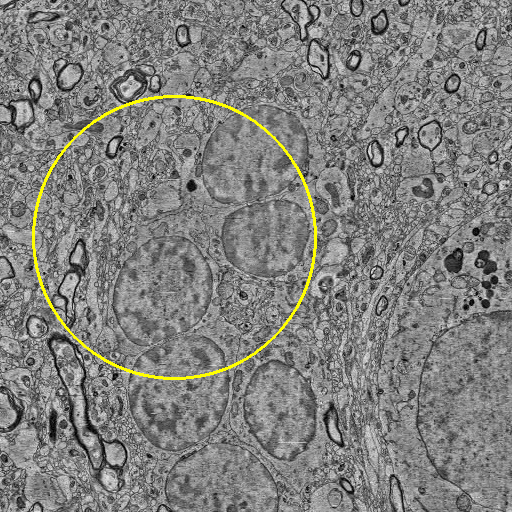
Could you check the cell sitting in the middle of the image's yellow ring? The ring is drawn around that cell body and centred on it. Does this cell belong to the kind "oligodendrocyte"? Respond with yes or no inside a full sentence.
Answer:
Yes, this cell in the middle of the yellow ring is one of that kind.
